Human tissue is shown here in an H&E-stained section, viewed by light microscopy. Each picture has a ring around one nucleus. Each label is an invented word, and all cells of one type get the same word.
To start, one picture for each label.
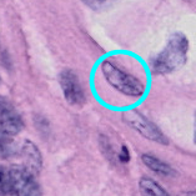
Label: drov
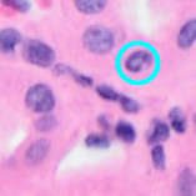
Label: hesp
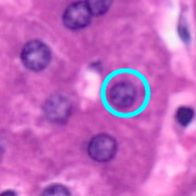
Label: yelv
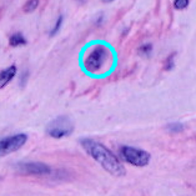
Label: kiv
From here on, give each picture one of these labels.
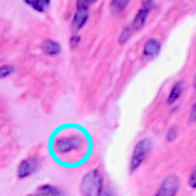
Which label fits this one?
kiv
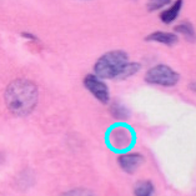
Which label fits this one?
hesp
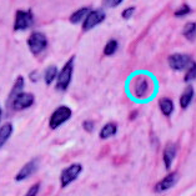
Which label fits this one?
kiv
